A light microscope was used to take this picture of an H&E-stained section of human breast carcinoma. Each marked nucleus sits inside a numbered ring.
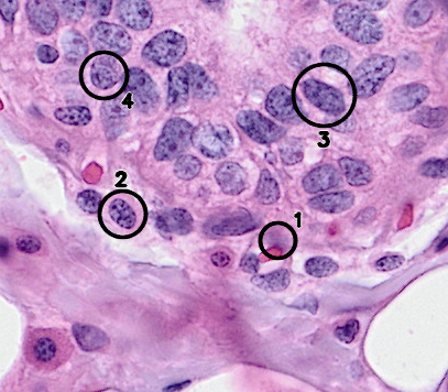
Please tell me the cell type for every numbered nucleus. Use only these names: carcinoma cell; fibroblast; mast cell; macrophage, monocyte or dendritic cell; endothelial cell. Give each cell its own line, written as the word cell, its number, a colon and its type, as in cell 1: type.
cell 1: endothelial cell
cell 2: mast cell
cell 3: carcinoma cell
cell 4: carcinoma cell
